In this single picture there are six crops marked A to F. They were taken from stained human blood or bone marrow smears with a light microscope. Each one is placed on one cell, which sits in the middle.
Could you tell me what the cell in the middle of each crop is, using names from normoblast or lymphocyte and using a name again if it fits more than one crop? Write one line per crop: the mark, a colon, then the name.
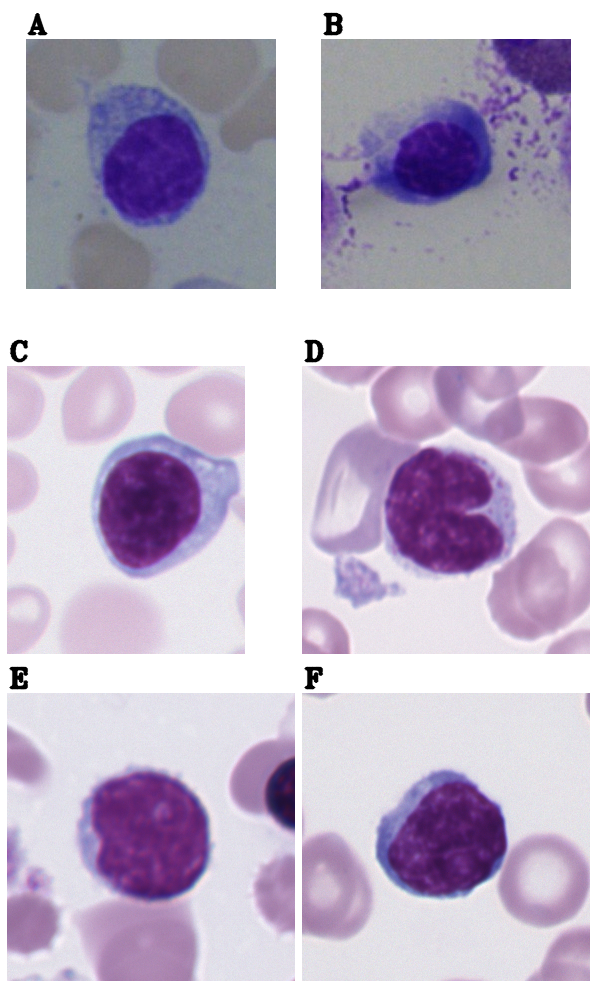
A: lymphocyte
B: normoblast
C: lymphocyte
D: lymphocyte
E: lymphocyte
F: lymphocyte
